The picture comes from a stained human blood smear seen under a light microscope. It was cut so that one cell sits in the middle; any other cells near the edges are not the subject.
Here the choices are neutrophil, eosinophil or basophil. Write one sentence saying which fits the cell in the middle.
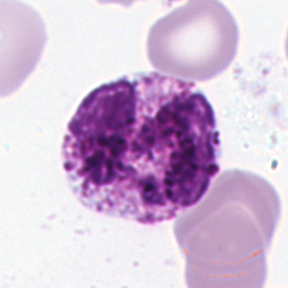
The cell in the middle of this crop is a basophil.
